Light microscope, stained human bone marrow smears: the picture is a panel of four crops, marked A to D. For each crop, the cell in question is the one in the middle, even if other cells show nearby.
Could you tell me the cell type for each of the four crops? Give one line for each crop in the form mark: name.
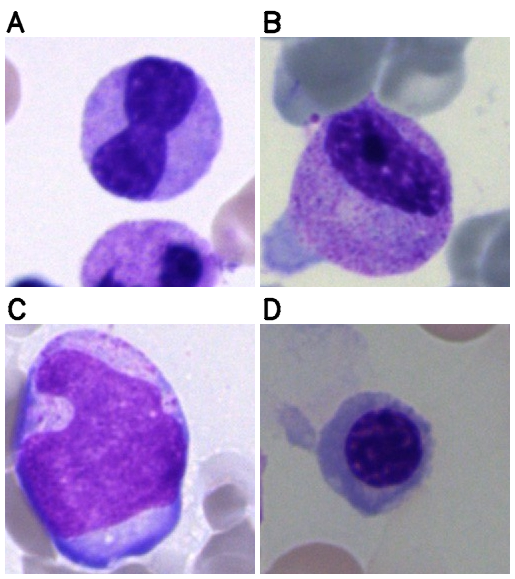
A: metamyelocyte
B: metamyelocyte
C: blast
D: normoblast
